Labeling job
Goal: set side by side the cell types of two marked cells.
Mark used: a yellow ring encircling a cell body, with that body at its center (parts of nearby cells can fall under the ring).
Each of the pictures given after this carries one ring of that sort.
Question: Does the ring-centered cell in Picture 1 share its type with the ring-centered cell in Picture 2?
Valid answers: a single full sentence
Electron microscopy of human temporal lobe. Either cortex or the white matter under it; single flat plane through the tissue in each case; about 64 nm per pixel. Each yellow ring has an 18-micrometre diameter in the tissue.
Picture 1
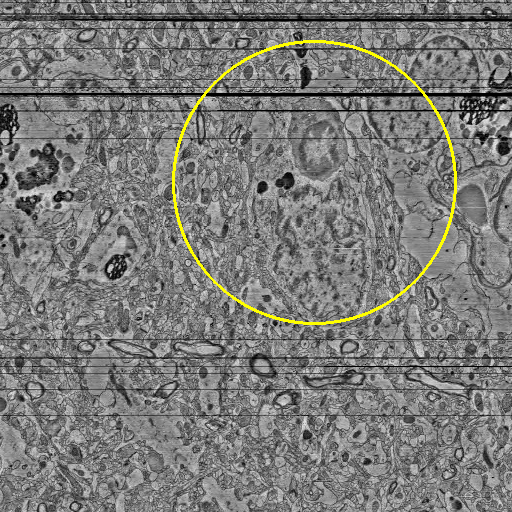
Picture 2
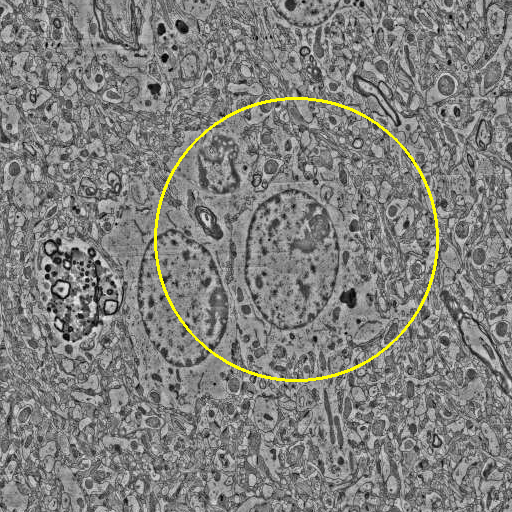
No, in Pictures 1 and 2 the cells at the ring centers have separate types.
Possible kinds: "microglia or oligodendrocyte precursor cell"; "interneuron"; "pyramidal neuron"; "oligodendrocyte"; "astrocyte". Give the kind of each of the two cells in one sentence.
The cell in the second picture is an astrocyte, and that in the first is an oligodendrocyte.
